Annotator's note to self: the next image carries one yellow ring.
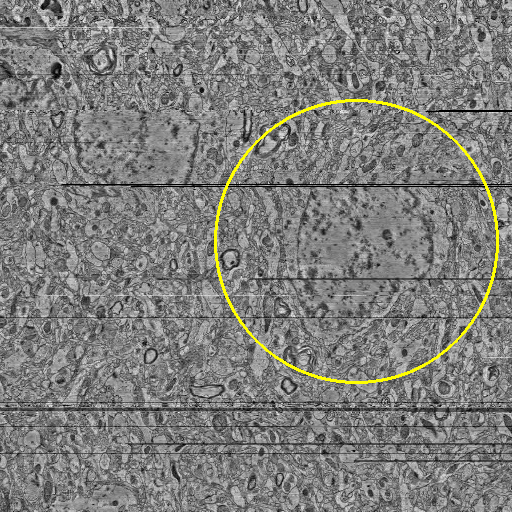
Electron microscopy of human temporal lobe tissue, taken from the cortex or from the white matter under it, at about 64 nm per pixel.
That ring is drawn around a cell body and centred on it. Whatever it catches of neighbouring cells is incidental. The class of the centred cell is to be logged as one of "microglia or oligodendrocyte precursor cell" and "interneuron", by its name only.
interneuron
